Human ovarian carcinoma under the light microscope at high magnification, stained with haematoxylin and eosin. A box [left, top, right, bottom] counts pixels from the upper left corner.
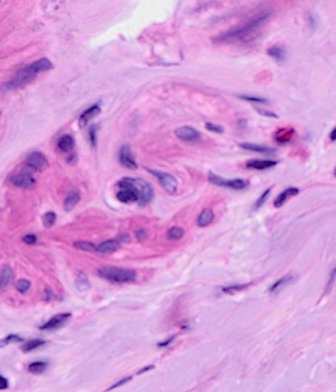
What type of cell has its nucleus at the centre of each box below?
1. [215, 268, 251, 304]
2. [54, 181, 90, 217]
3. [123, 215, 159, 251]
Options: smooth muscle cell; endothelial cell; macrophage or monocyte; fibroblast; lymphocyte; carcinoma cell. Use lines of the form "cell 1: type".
cell 1: fibroblast
cell 2: smooth muscle cell
cell 3: smooth muscle cell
